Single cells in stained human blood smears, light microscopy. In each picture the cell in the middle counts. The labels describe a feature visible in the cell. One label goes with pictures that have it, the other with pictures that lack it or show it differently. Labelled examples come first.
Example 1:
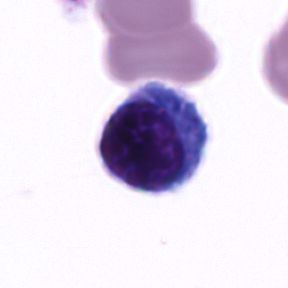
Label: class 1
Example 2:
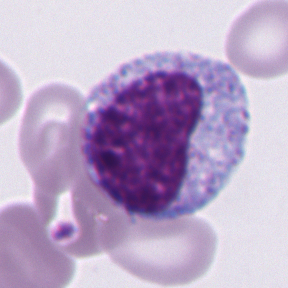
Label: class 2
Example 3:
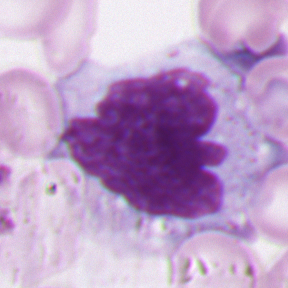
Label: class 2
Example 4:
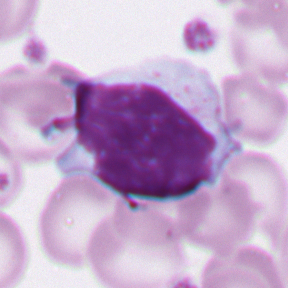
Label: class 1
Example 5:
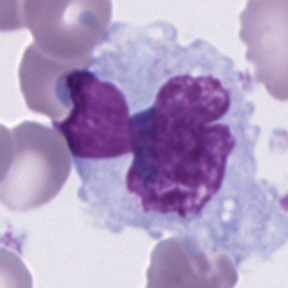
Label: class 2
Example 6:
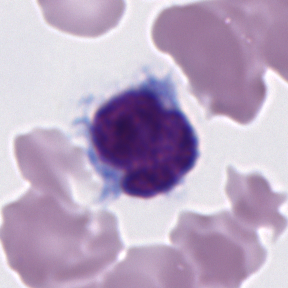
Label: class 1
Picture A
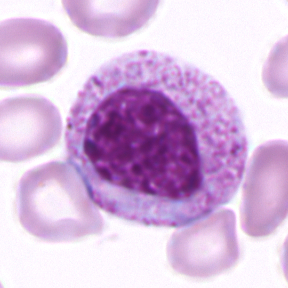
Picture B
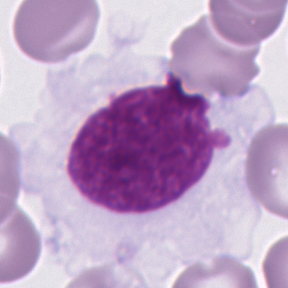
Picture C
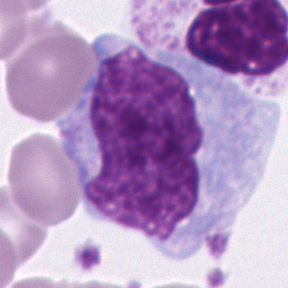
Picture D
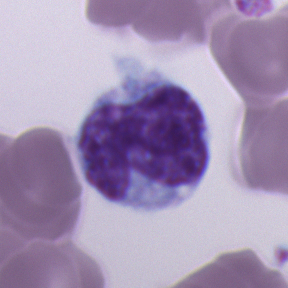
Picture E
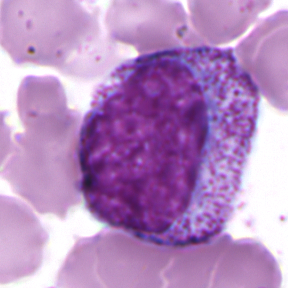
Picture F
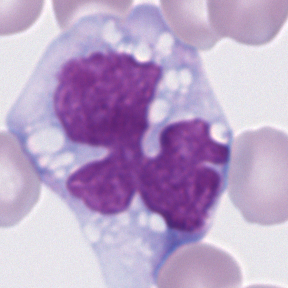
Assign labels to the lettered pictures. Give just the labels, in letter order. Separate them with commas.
class 2, class 2, class 2, class 1, class 2, class 2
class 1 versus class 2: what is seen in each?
class 1: scant cytoplasm; class 2: abundant cytoplasm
